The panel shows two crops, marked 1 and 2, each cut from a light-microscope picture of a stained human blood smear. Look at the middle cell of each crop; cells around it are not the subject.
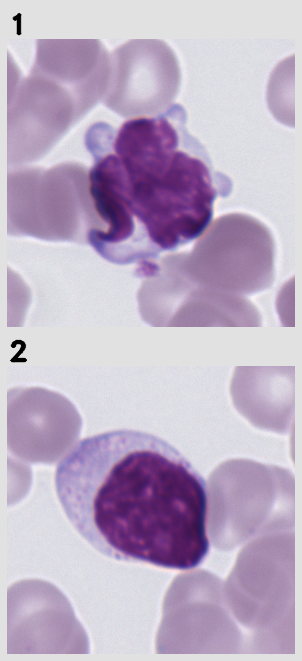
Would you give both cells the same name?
yes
